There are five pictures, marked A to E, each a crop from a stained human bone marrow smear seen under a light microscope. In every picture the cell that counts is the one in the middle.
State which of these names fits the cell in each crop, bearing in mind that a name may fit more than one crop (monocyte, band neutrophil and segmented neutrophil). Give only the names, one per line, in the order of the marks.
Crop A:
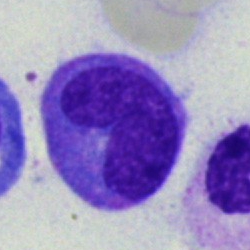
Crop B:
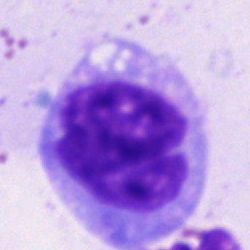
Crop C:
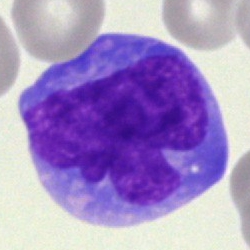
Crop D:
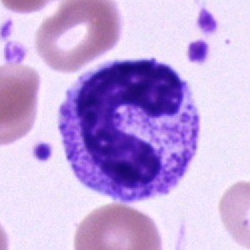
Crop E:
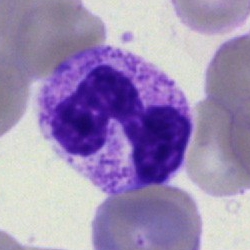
monocyte
monocyte
monocyte
band neutrophil
band neutrophil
